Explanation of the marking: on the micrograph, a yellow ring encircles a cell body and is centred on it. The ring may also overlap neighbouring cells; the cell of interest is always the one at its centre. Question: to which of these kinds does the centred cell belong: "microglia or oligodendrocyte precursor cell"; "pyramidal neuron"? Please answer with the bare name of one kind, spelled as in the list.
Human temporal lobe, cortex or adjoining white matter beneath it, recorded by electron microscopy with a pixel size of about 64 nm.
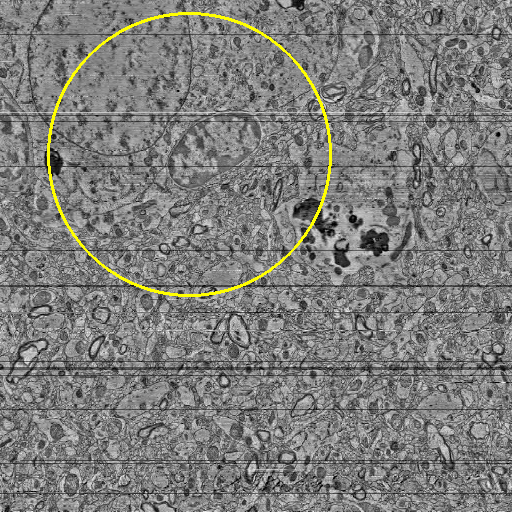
microglia or oligodendrocyte precursor cell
